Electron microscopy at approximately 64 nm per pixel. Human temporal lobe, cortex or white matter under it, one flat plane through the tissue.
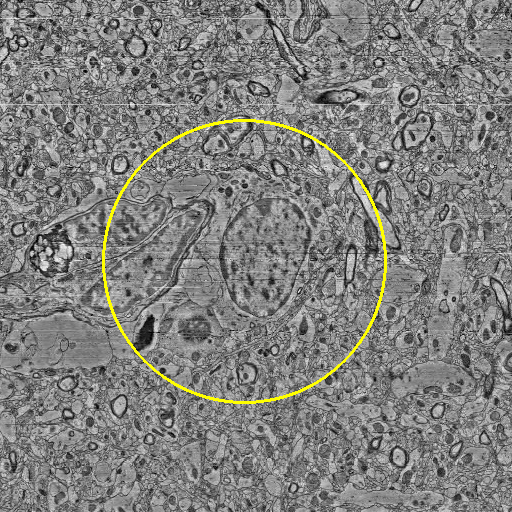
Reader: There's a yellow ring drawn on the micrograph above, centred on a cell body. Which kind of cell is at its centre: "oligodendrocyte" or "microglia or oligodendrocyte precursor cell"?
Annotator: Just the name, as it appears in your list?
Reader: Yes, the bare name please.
microglia or oligodendrocyte precursor cell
